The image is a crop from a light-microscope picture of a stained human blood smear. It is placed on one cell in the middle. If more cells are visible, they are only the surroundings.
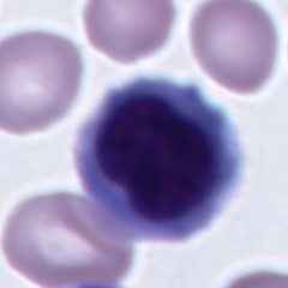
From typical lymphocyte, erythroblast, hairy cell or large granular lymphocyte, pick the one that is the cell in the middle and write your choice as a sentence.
The cell centred in this crop is categorized as an erythroblast.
